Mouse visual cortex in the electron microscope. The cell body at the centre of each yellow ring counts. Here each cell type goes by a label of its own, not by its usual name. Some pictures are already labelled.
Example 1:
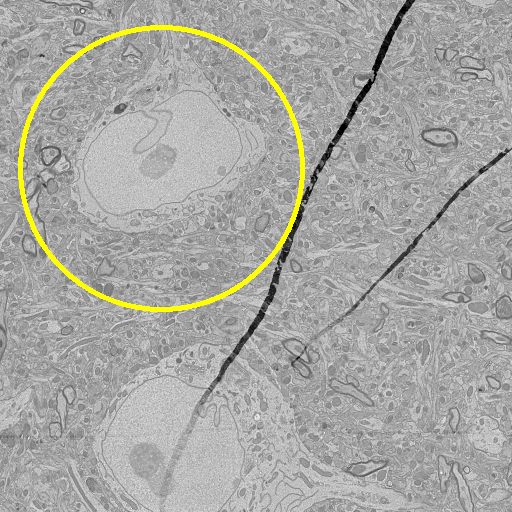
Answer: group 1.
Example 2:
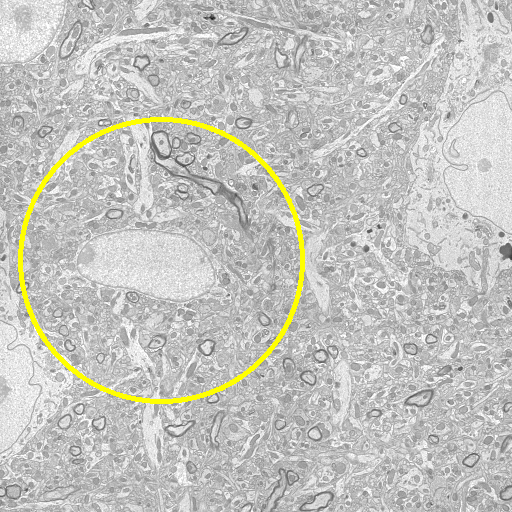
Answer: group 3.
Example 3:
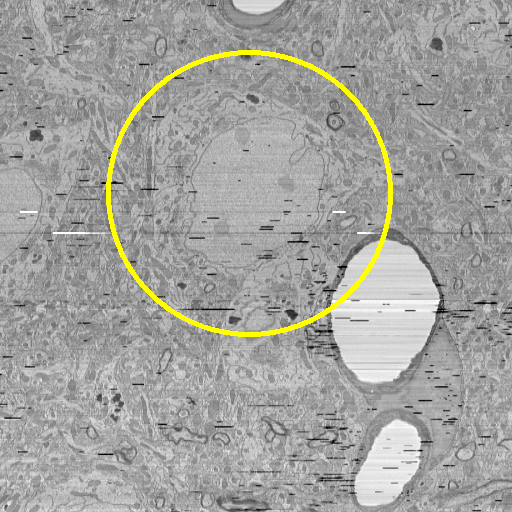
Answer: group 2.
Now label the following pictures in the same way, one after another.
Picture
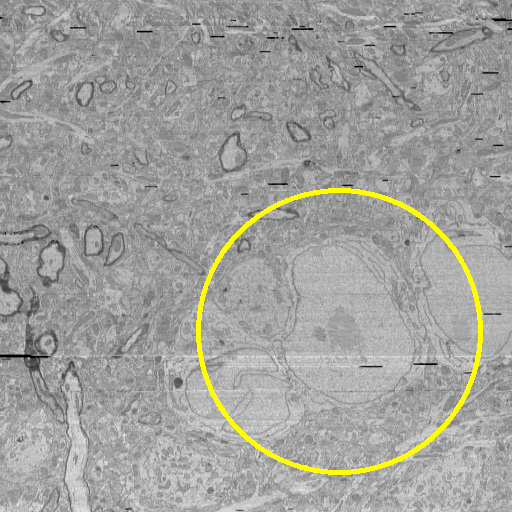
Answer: group 2.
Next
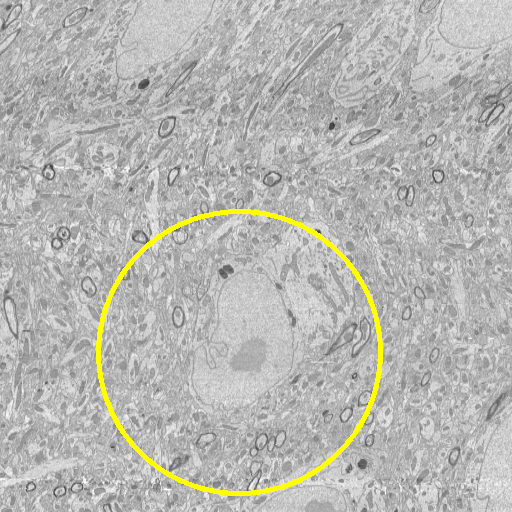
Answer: group 2.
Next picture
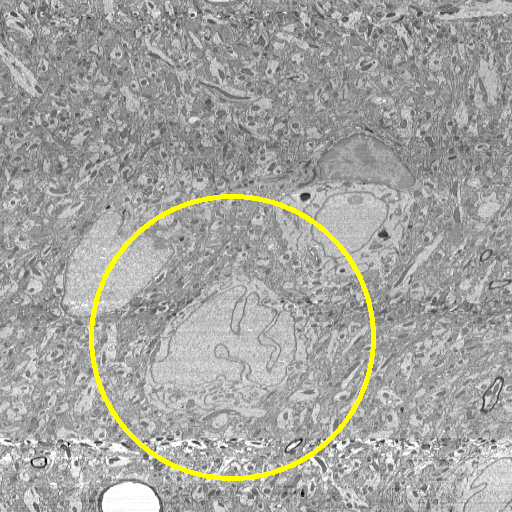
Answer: group 2.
